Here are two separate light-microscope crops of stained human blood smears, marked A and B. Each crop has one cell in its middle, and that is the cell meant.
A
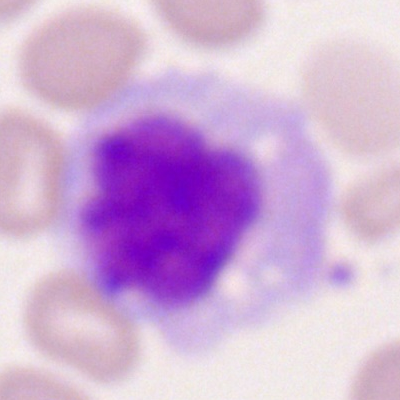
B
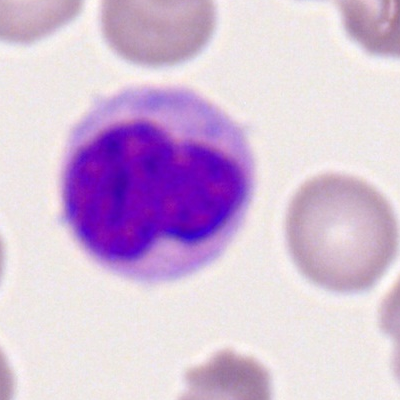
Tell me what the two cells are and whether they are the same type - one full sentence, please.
Yes, both crops do show monocytes in the middle.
